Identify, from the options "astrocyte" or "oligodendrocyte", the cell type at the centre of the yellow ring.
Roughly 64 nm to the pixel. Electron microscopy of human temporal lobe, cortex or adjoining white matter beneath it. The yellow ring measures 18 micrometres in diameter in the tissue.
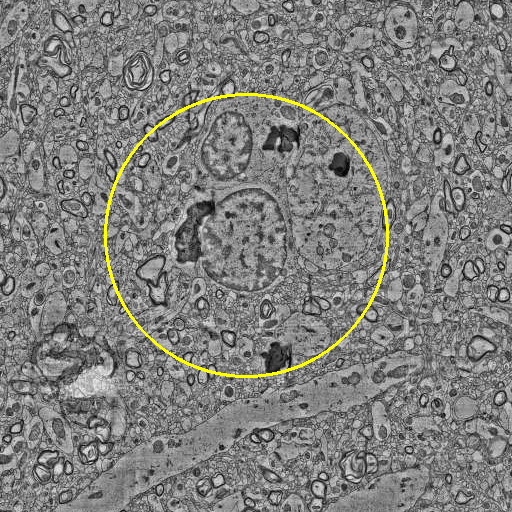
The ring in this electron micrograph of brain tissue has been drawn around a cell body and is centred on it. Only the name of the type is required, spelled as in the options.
oligodendrocyte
